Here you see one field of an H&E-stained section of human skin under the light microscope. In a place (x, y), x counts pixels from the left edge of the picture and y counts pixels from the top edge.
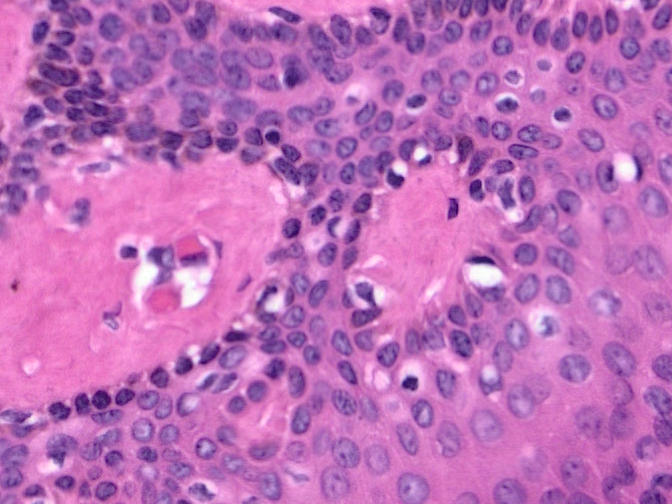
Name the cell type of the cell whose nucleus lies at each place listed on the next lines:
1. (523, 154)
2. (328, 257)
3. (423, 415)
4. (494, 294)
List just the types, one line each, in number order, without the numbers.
suprabasal keratinocyte
basal keratinocyte
suprabasal keratinocyte
basal keratinocyte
